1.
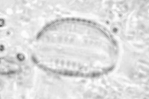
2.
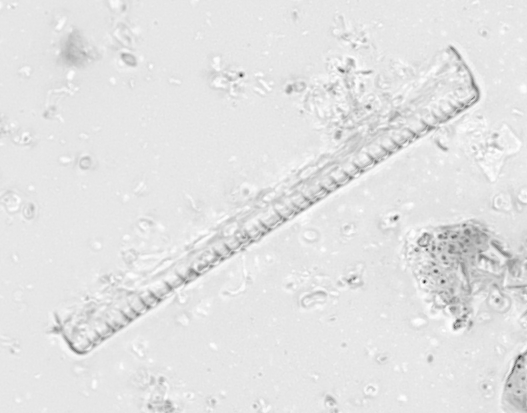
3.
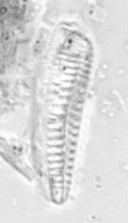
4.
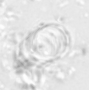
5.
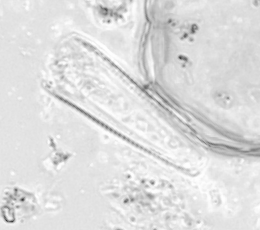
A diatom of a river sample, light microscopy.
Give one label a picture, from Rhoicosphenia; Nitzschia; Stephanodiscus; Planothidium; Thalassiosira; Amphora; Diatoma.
1. Amphora
2. Diatoma
3. Rhoicosphenia
4. Thalassiosira
5. Nitzschia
